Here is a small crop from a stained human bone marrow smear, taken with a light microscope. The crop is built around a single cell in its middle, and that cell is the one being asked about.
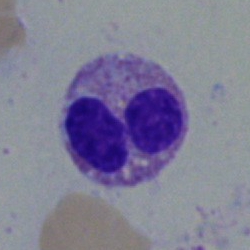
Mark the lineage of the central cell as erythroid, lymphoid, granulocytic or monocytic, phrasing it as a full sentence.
Of the possible lineages, the central cell belongs to the granulocytic lineage.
